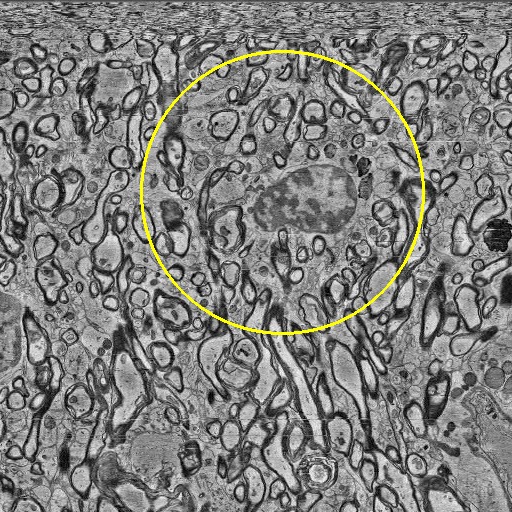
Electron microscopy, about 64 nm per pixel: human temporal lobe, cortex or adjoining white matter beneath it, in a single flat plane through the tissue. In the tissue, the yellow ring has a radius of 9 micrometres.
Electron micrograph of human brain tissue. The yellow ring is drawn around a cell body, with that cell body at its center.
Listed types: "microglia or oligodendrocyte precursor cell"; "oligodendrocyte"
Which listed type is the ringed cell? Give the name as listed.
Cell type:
microglia or oligodendrocyte precursor cell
